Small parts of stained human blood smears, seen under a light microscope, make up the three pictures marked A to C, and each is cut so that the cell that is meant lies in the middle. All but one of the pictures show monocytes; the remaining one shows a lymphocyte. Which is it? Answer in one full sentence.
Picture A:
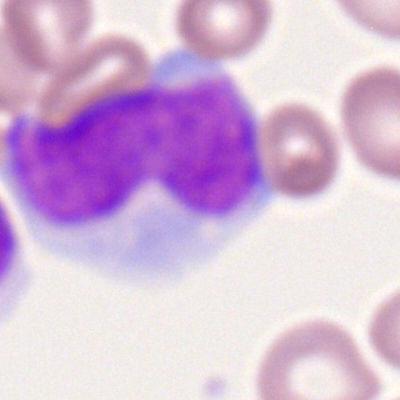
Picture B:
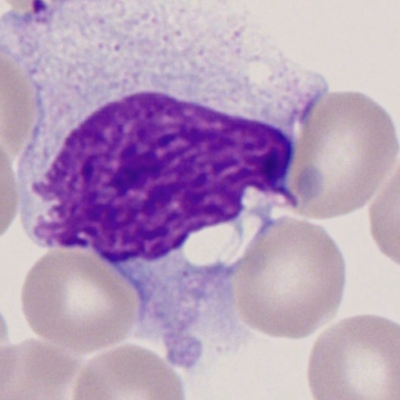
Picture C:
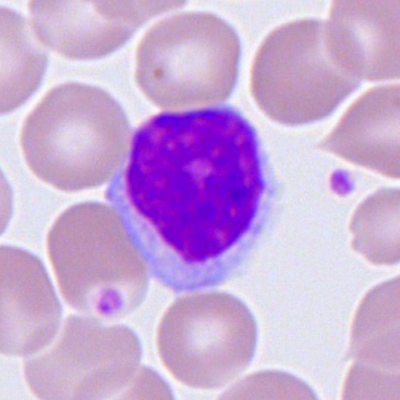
The lymphocyte is the one in picture C.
